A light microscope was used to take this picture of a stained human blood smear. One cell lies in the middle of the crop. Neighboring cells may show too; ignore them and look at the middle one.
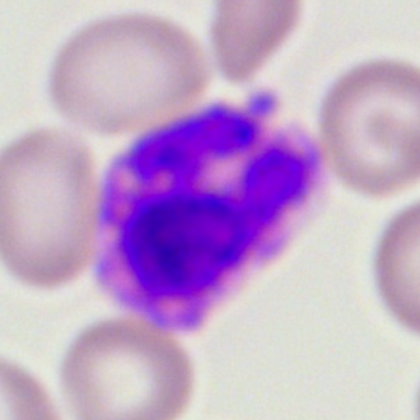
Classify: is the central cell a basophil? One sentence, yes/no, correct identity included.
Yes, the cell of interest in the centre is a basophil.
